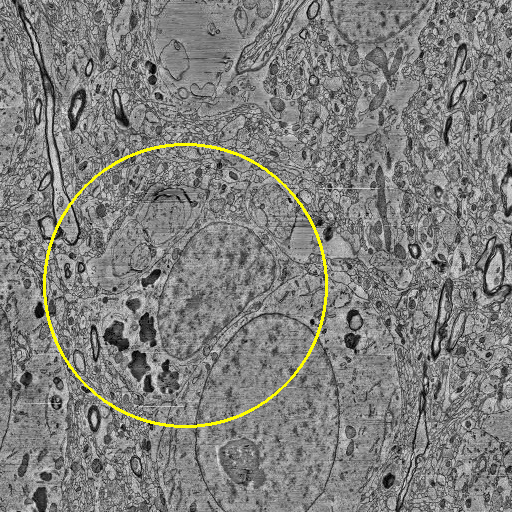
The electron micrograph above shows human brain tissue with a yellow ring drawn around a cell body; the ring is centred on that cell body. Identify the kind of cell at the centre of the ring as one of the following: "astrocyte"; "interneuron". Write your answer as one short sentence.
The cell at the centre of the ring is an interneuron.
